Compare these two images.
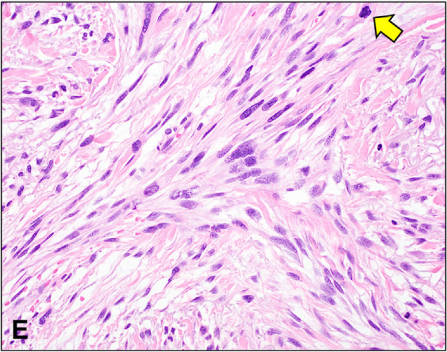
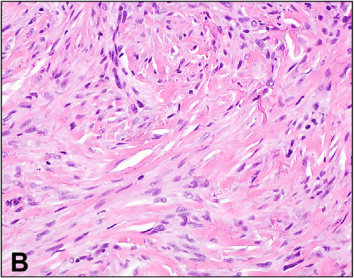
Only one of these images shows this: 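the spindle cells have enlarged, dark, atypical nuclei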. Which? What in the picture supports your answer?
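First image: spindle cells with enlarged, dark, irregular nuclei and a mitotic figure. Second image: small, uniform, paler nuclei between collagen bundles.
Conclusion: the first image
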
